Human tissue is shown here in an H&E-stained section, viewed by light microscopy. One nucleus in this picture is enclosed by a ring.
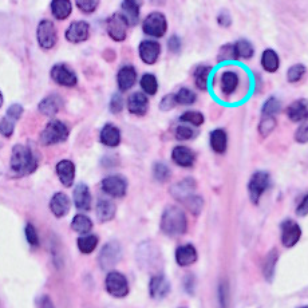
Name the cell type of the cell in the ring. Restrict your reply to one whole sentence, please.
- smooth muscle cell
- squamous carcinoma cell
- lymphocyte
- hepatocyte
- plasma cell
Just put down that the cell in the ring is a lymphocyte.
